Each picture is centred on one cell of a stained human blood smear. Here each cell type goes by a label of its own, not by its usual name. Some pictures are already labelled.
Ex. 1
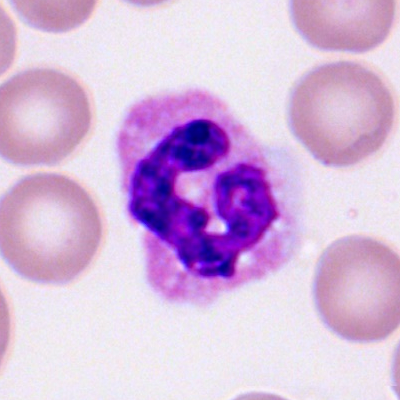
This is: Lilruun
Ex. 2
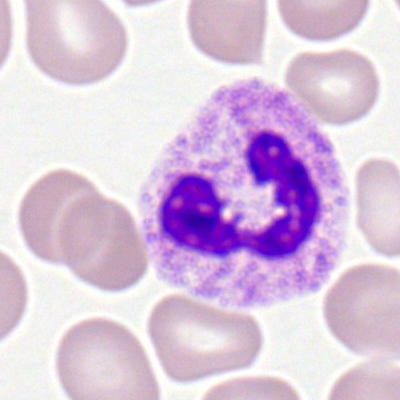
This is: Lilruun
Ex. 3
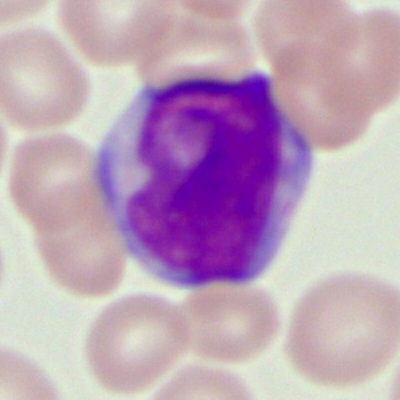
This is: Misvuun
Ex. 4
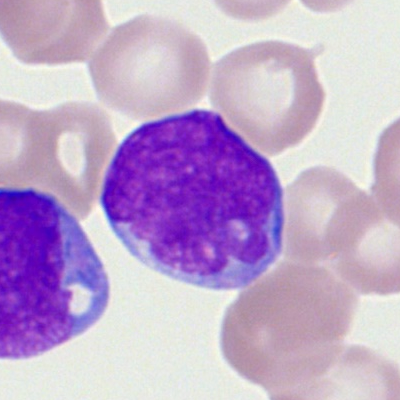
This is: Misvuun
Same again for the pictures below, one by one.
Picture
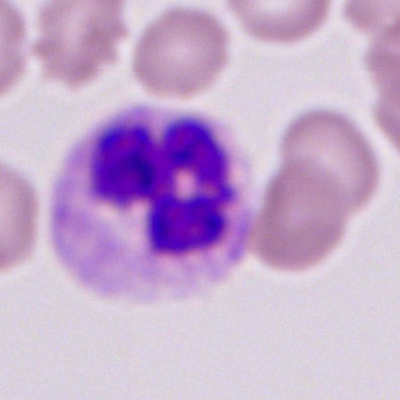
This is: Lilruun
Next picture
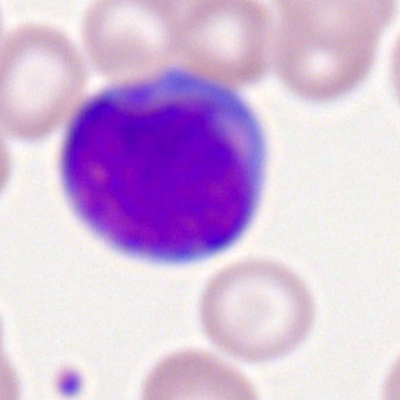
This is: Misvuun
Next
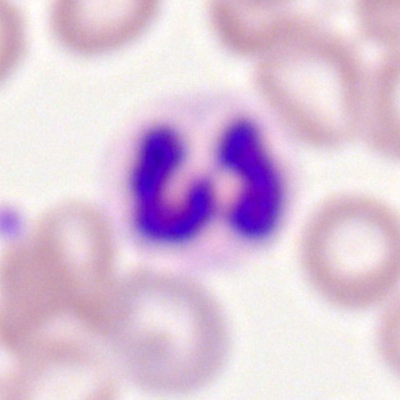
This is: Lilruun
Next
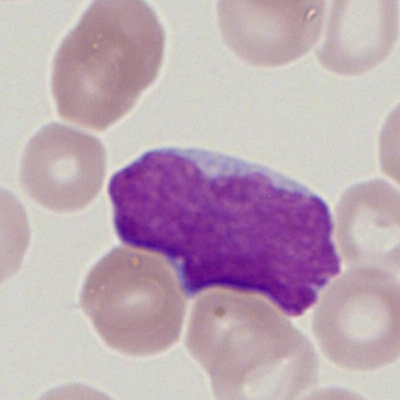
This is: Misvuun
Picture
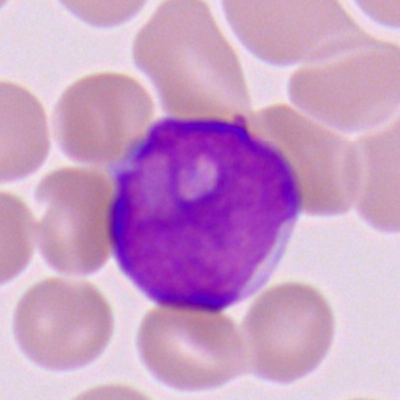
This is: Misvuun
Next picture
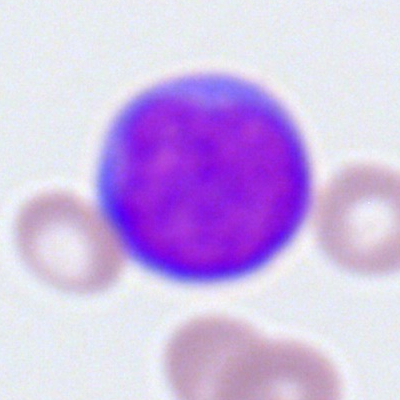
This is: Misvuun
